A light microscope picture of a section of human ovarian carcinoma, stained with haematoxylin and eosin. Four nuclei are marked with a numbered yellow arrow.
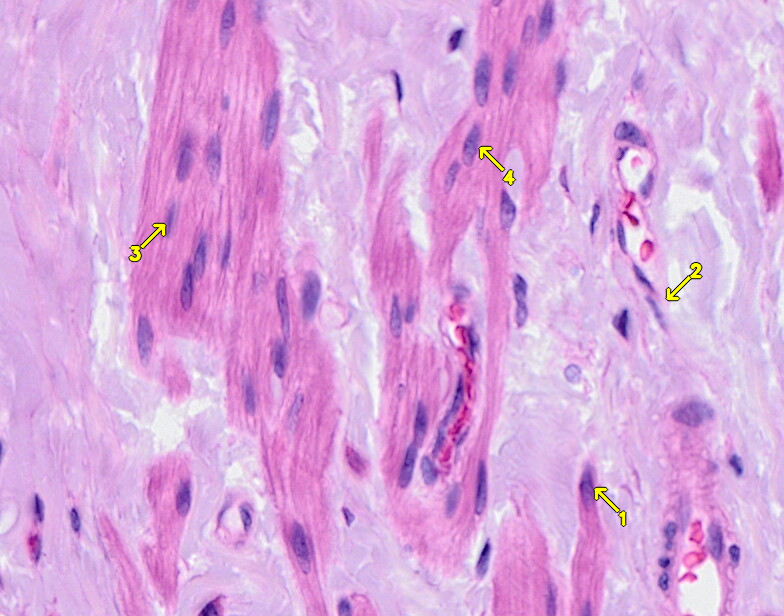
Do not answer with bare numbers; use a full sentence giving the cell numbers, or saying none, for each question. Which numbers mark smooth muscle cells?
The cells that have numbers 1, 3 and 4 are smooth muscle cells.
